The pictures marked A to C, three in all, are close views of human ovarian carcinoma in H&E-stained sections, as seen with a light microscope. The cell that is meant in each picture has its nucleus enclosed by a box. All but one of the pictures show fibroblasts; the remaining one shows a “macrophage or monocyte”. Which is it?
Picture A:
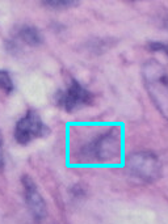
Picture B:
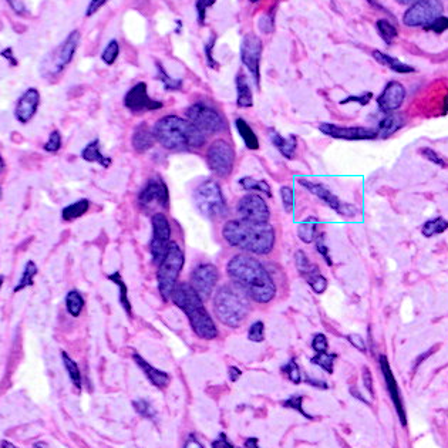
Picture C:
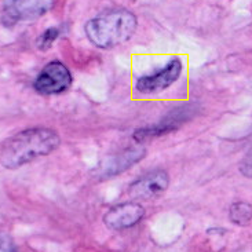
C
